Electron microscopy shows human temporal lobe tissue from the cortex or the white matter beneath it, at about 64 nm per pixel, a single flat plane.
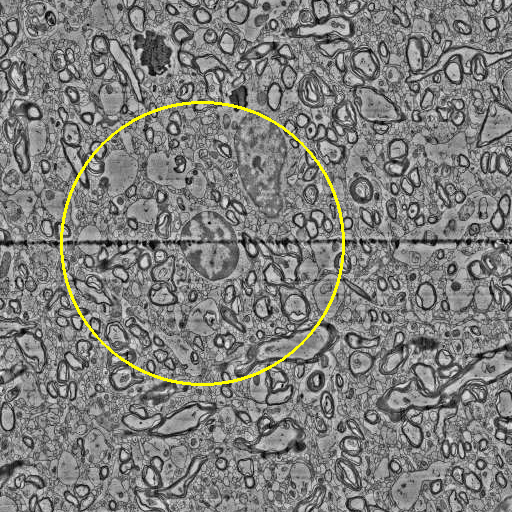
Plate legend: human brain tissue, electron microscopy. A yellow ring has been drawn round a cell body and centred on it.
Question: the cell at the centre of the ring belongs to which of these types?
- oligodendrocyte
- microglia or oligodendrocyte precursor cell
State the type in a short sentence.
The cell in the middle of the ring is a microglial cell or oligodendrocyte precursor cell.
